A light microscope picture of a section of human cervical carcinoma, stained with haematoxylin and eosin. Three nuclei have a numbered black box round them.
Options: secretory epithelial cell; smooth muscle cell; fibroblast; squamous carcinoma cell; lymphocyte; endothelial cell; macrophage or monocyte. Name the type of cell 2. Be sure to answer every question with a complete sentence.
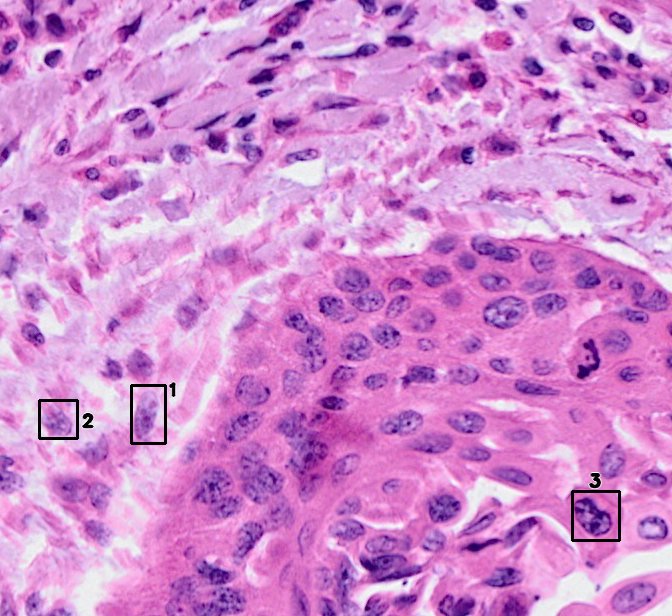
The cell pointed out as number 2 is a fibroblast.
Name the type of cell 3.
The cell referred to as 3 is a squamous carcinoma cell.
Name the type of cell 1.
The expected answer is that cell 1 is a fibroblast.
